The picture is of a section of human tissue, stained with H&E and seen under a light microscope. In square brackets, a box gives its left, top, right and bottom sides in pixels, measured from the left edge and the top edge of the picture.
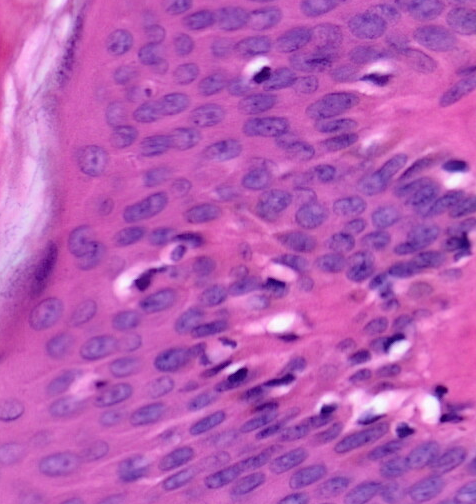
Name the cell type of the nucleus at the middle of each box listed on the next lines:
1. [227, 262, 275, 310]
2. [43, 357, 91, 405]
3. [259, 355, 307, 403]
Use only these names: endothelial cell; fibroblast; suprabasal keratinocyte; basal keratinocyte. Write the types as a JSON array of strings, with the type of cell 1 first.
["basal keratinocyte", "suprabasal keratinocyte", "basal keratinocyte"]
